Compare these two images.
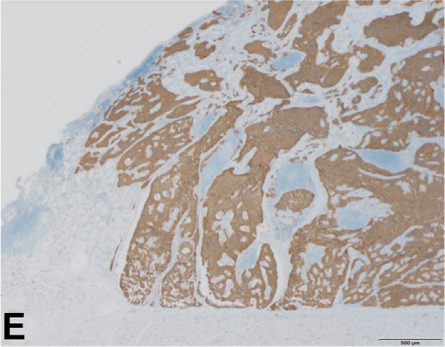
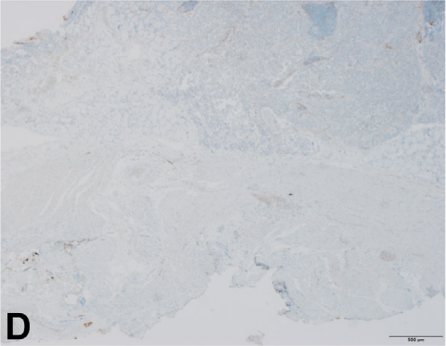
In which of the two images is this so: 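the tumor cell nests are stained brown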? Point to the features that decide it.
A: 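The first image. First image: the tumor nests are strongly brown throughout. Second image: the tissue is almost entirely pale blue, with only scattered faint brown specks.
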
